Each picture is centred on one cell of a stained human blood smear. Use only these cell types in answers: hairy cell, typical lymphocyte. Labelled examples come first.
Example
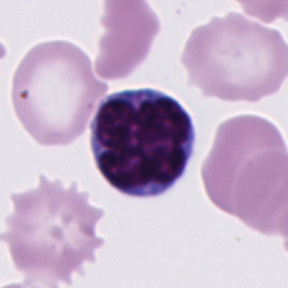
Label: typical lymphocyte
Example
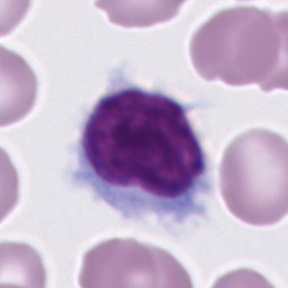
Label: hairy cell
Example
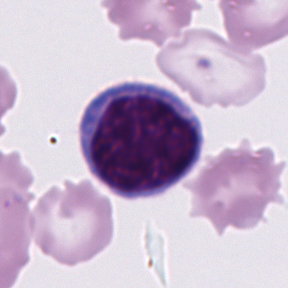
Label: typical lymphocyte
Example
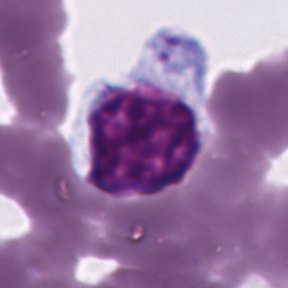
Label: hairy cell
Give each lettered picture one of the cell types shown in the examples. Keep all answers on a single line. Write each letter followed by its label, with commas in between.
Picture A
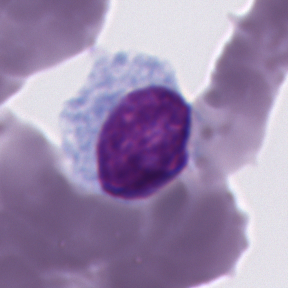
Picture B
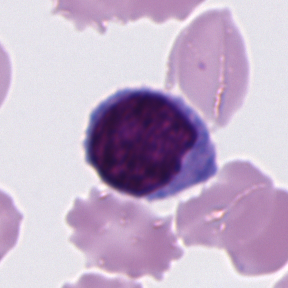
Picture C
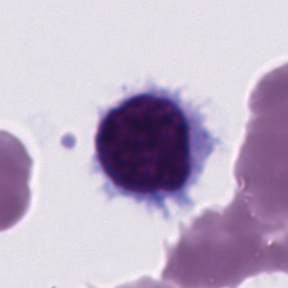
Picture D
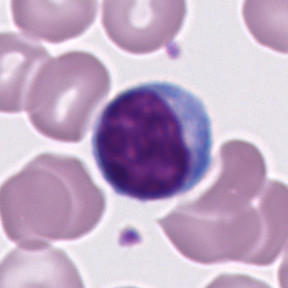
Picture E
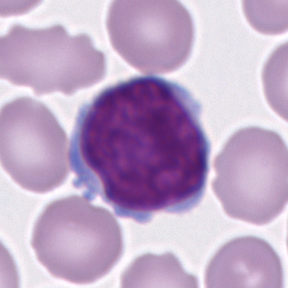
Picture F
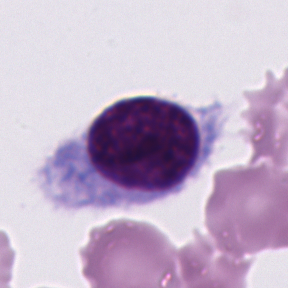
A hairy cell, B typical lymphocyte, C hairy cell, D typical lymphocyte, E typical lymphocyte, F hairy cell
